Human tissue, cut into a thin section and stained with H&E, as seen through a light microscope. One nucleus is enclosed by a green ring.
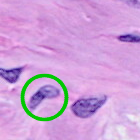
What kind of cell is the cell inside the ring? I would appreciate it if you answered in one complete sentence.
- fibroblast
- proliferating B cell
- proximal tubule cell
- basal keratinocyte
In cell-type terms, the cell inside the ring is a fibroblast.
